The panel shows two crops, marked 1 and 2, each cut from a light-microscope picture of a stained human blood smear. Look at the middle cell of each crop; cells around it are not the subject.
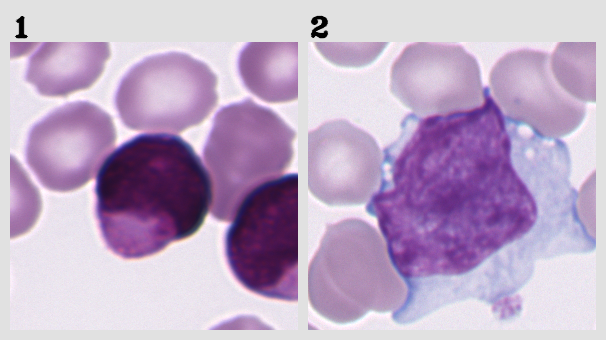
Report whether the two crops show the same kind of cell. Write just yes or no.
yes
